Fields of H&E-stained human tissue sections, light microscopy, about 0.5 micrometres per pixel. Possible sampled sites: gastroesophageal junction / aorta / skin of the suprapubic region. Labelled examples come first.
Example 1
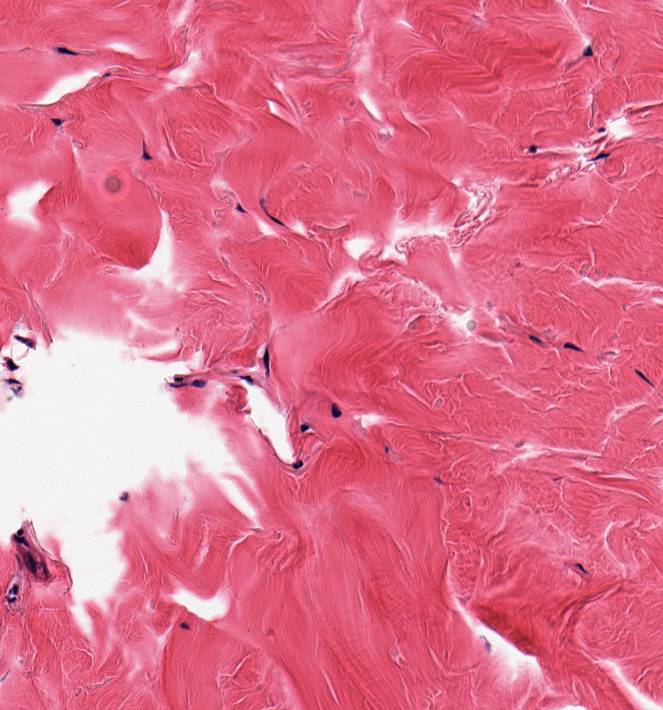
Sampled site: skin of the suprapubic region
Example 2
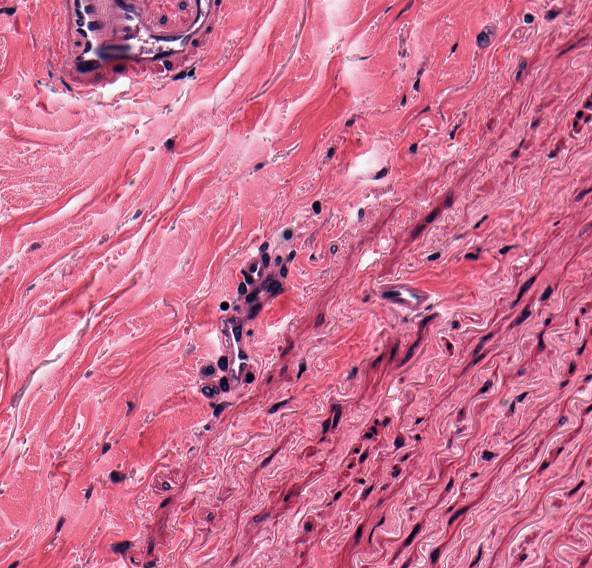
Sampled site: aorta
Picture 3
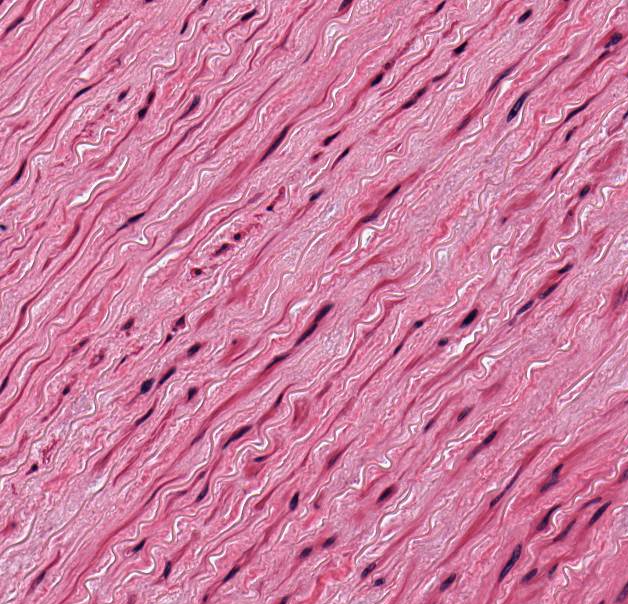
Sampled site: aorta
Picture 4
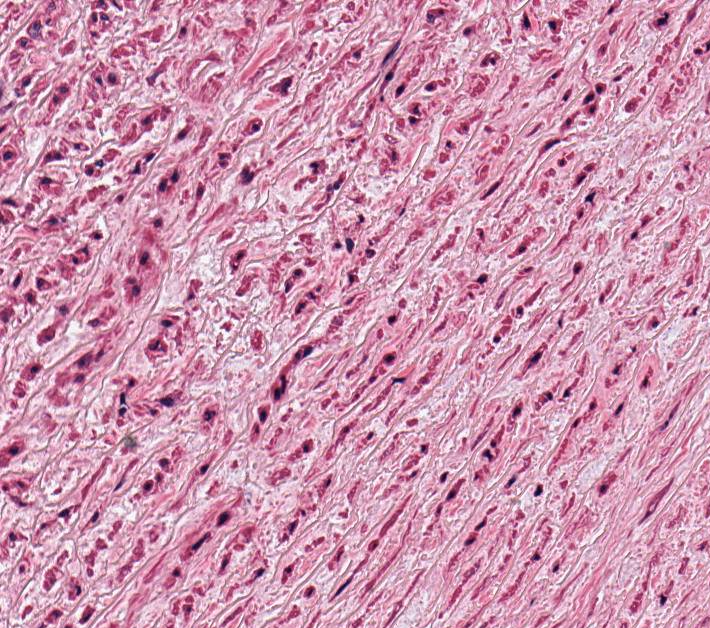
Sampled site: aorta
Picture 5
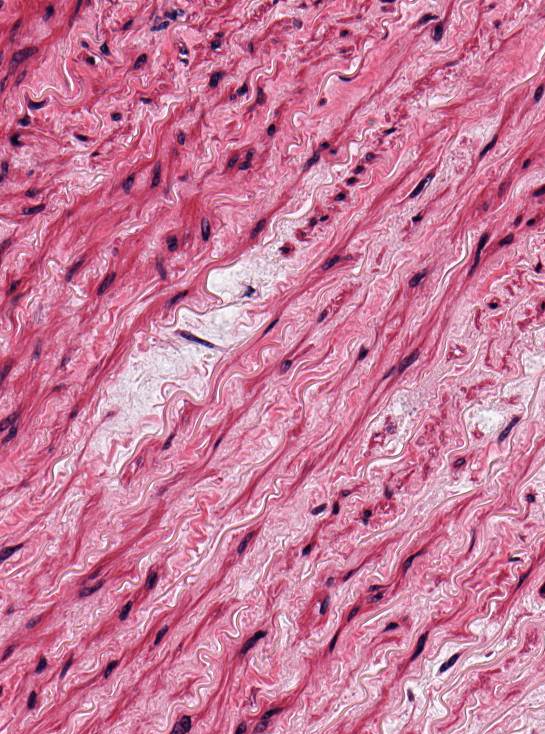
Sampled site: aorta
